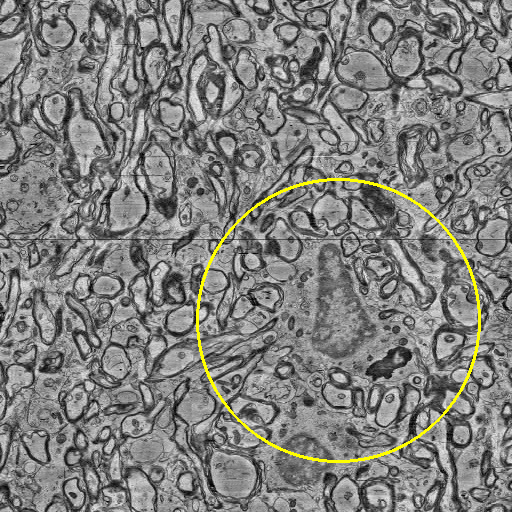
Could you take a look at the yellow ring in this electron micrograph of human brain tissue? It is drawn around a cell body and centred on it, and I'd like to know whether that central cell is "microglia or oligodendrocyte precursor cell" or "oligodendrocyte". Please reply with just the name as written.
oligodendrocyte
